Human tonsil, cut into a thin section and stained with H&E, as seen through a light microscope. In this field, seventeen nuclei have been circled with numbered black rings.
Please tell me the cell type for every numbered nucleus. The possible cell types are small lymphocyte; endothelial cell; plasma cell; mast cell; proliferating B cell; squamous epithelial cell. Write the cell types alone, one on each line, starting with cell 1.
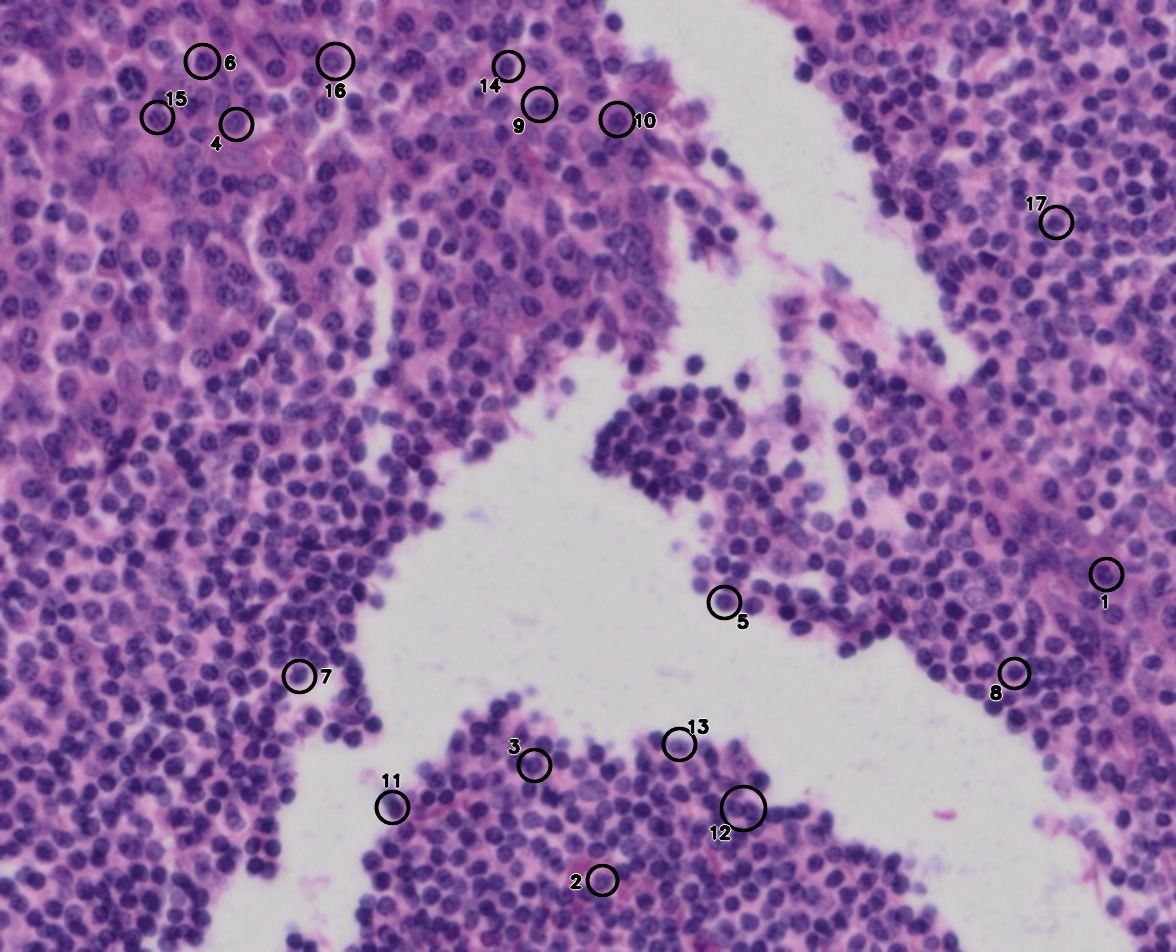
plasma cell
small lymphocyte
small lymphocyte
plasma cell
small lymphocyte
plasma cell
small lymphocyte
small lymphocyte
plasma cell
plasma cell
small lymphocyte
small lymphocyte
small lymphocyte
plasma cell
plasma cell
plasma cell
small lymphocyte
